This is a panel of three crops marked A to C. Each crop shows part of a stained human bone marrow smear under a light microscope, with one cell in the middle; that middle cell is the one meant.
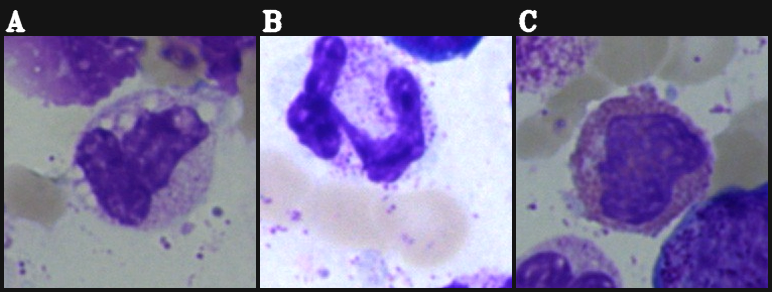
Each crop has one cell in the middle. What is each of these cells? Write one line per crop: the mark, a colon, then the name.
A: band neutrophil
B: segmented neutrophil
C: eosinophil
